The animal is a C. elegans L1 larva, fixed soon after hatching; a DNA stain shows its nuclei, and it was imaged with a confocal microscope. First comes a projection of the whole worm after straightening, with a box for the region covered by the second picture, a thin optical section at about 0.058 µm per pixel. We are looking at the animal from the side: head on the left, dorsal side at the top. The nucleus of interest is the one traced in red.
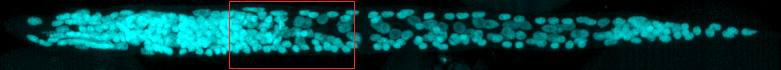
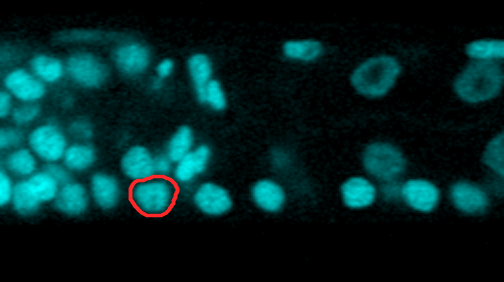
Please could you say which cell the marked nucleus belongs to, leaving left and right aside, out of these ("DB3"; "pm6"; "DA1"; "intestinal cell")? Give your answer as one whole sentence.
The cell whose nucleus is marked is DA1, a neuron.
